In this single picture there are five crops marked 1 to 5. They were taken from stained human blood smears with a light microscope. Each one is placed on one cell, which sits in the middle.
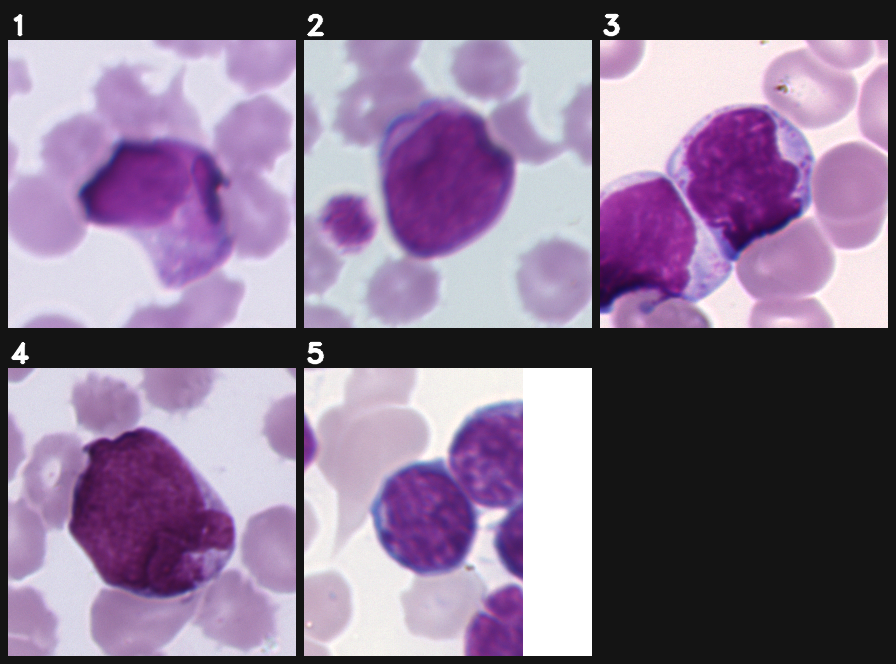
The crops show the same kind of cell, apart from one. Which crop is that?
3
